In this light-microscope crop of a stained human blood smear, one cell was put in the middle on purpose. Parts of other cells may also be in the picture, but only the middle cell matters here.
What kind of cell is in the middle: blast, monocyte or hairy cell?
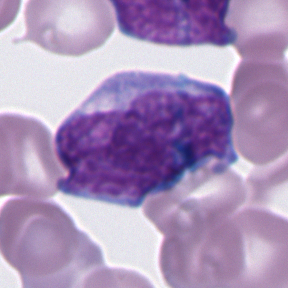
blast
